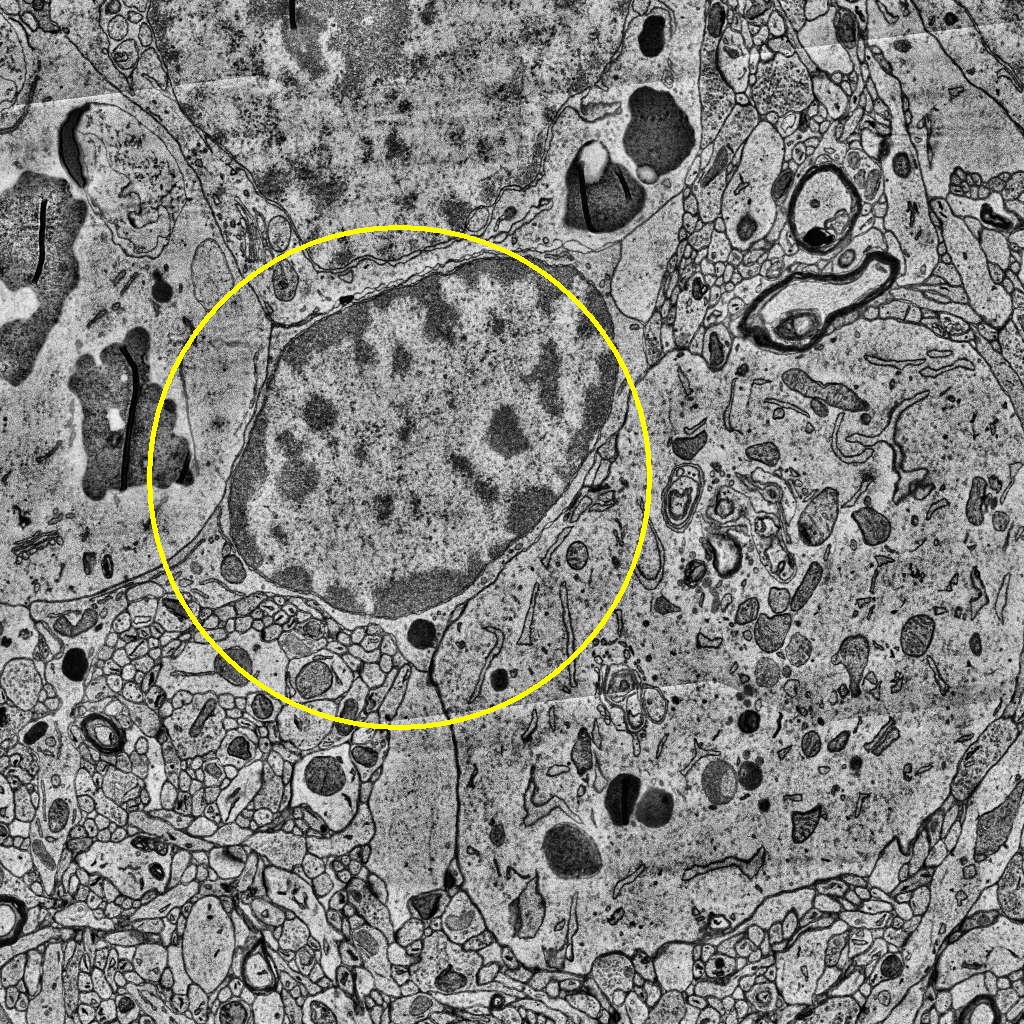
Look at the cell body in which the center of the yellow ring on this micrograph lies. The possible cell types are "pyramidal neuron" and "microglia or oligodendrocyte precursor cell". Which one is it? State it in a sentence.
The cell at the middle of the ring is a microglial cell or oligodendrocyte precursor cell.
